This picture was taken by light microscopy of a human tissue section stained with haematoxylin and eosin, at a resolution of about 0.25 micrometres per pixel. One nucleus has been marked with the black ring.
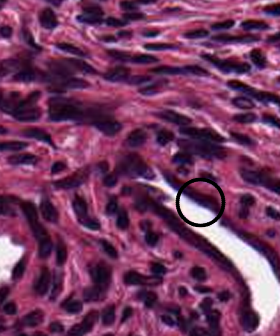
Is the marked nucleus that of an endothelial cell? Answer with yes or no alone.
yes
